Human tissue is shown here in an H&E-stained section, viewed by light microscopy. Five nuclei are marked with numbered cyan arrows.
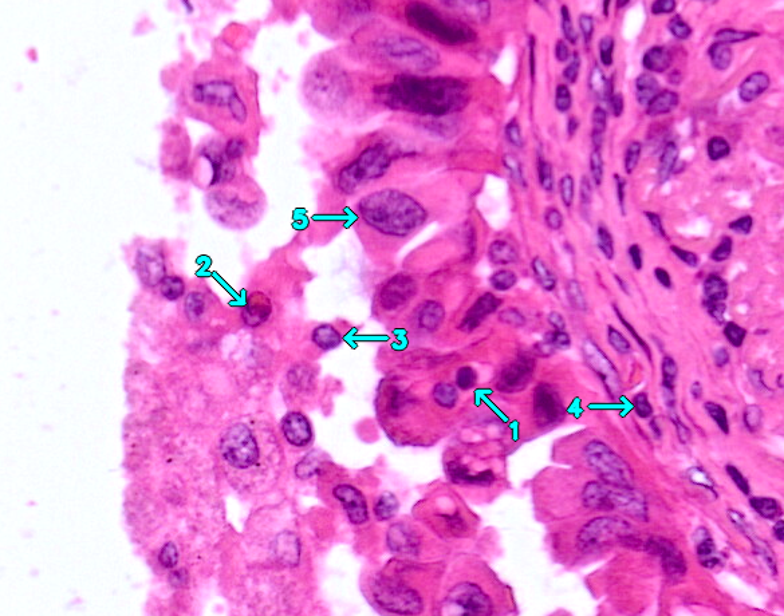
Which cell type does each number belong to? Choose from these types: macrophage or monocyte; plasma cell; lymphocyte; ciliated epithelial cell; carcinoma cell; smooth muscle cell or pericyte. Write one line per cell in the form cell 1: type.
cell 1: lymphocyte
cell 2: macrophage or monocyte
cell 3: lymphocyte
cell 4: lymphocyte
cell 5: carcinoma cell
